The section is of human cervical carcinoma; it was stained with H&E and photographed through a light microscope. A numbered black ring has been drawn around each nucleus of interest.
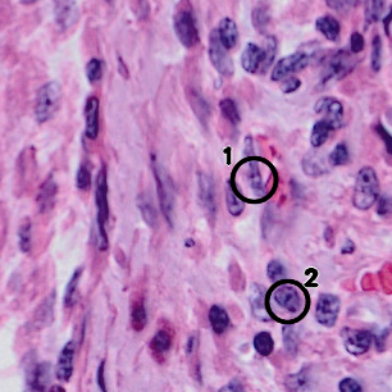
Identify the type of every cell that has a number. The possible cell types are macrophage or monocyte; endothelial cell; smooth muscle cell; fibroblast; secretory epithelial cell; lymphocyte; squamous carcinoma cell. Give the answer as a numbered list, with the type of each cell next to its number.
1. endothelial cell
2. lymphocyte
